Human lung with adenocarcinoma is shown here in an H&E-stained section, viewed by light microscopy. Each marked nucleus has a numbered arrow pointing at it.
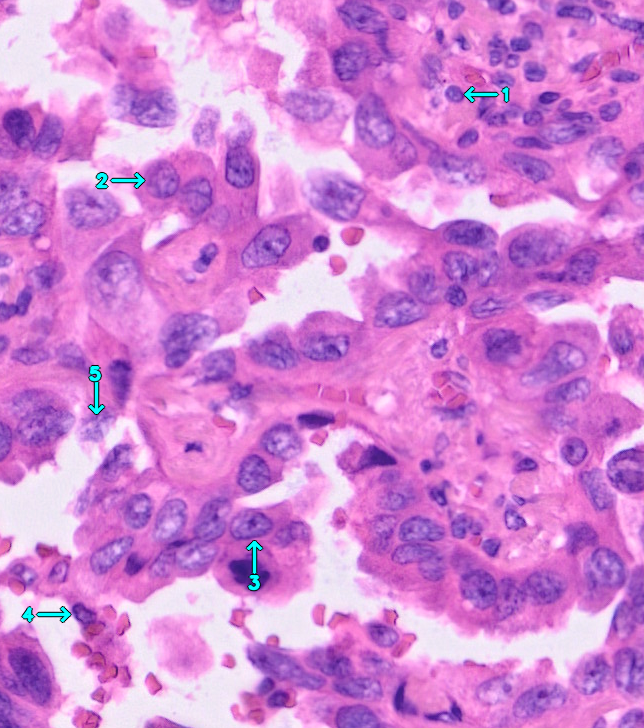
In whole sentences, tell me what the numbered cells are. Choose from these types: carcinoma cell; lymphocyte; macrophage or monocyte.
Cell 1 is a lymphocyte, cell 2 is a carcinoma cell, cell 3 is a carcinoma cell, cell 4 is a macrophage or monocyte and cell 5 is a carcinoma cell.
